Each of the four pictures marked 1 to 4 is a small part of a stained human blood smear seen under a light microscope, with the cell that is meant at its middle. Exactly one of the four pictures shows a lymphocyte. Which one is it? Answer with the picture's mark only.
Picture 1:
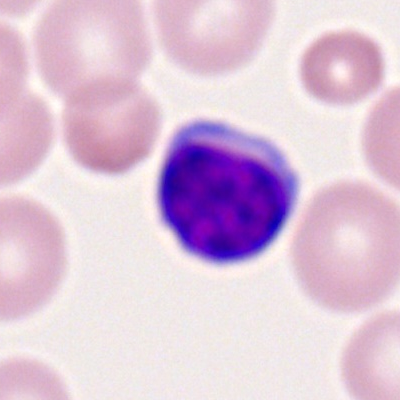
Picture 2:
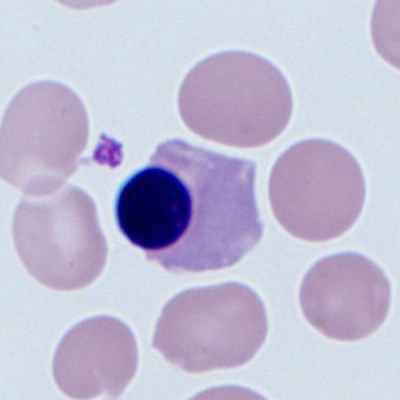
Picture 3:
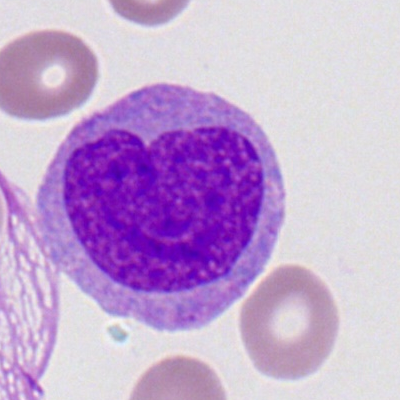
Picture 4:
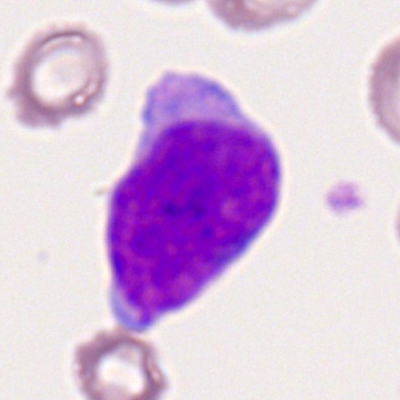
1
